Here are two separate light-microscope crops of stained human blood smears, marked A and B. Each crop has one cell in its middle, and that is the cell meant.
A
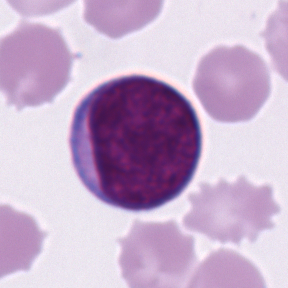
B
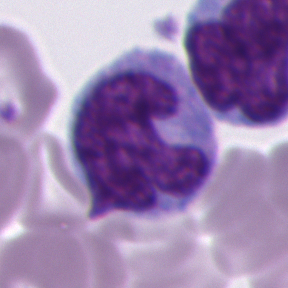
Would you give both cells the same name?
no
